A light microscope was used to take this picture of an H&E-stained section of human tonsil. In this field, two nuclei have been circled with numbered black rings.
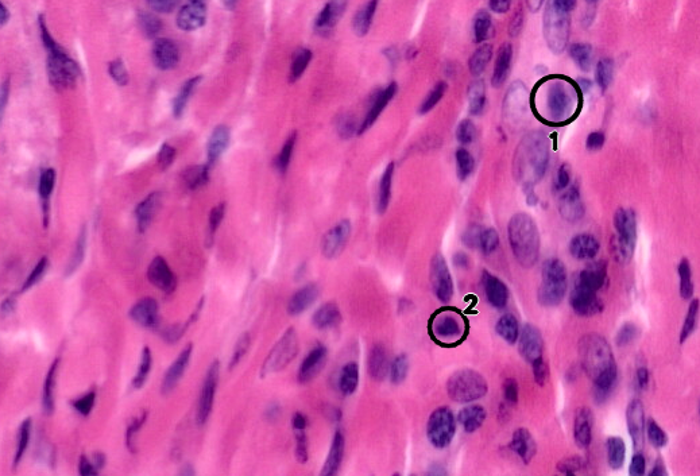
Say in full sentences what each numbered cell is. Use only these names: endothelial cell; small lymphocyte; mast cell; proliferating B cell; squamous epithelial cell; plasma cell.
Cell 1 is an endothelial cell. Cell 2 is a mast cell.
